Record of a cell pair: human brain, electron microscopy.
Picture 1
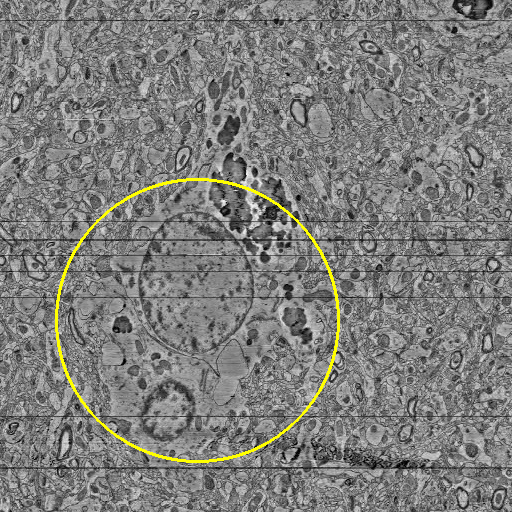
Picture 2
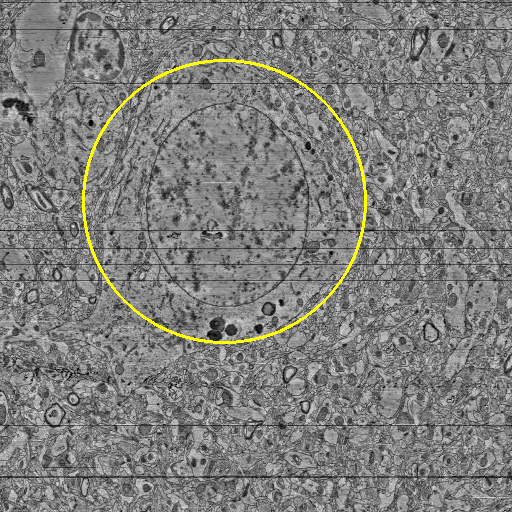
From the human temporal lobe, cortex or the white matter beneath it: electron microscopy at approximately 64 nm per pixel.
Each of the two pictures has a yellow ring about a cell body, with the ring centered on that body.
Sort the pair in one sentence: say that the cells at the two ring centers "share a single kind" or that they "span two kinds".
The cells centered in the rings of Pictures 1 and 2 span two kinds.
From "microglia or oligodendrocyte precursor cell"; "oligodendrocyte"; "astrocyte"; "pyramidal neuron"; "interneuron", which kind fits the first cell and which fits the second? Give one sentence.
The cell marked in the first picture is an astrocyte, and the one marked in the second is a pyramidal neuron.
